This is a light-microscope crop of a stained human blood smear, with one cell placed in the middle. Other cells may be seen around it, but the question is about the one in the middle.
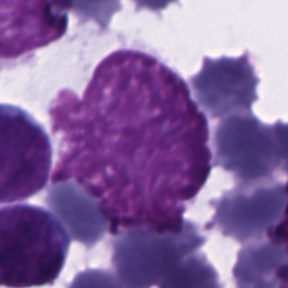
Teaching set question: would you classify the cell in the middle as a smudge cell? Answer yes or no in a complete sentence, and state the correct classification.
Yes, it is a smudge cell that lies in the middle.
